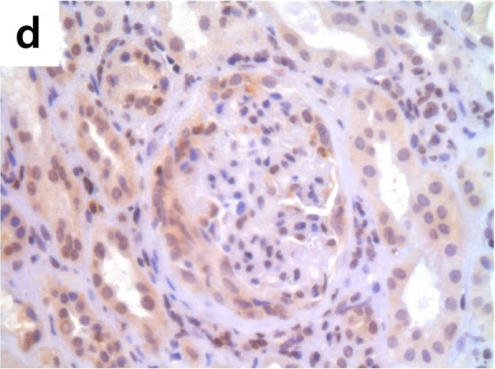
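Renal cortex with a single glomerulus centrally, surrounded by tubules. The glomerular tuft is compressed, and a crescent of layered, closely packed cells with oval nuclei lies between tuft and capsule. Light brown stain is present in the cytoplasm within this cellular crescent. The surrounding tubules are lined by cuboidal epithelial cells with round, centrally placed nuclei and brown-tinged granular cytoplasm, around small open lumina.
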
